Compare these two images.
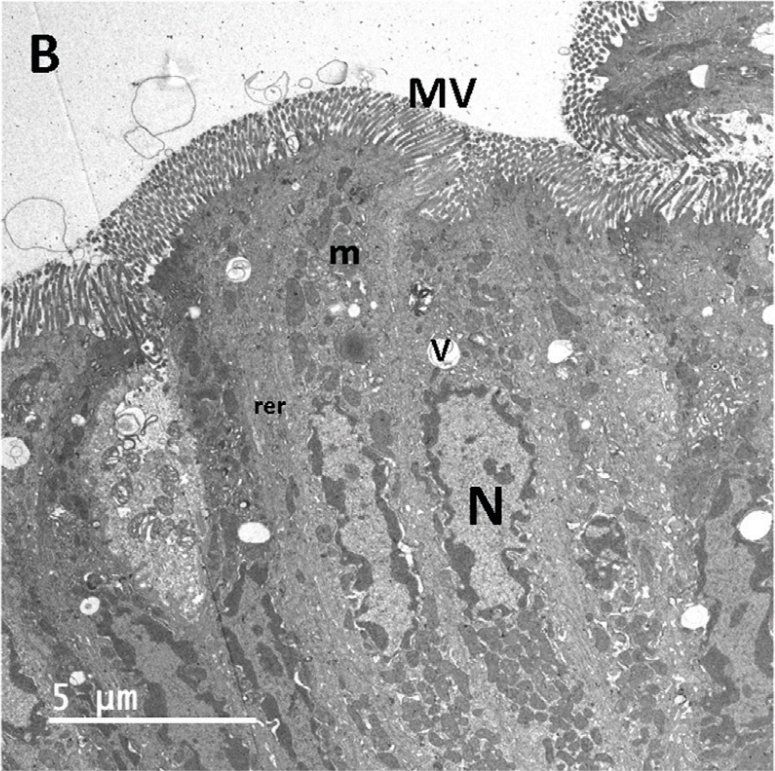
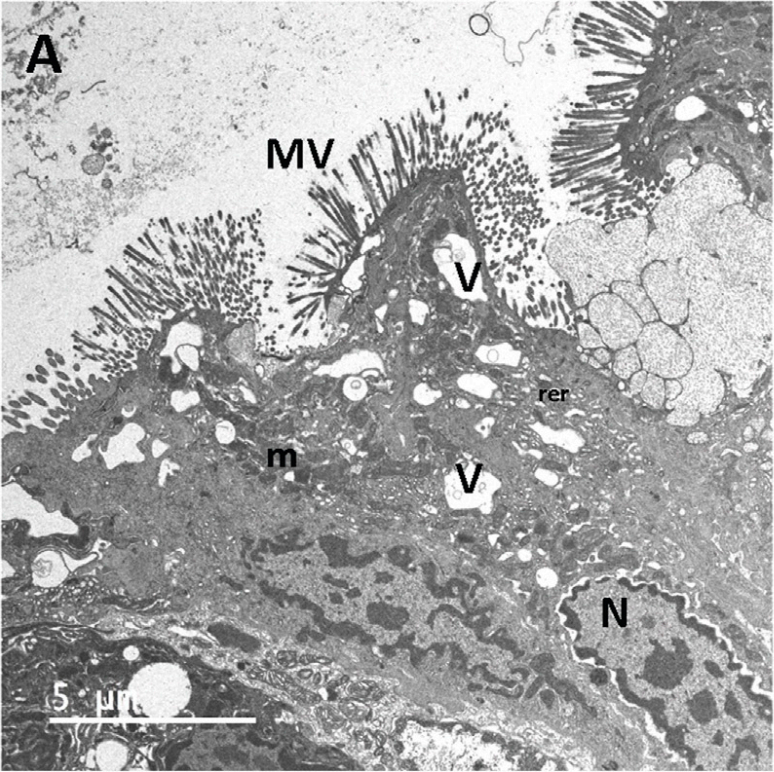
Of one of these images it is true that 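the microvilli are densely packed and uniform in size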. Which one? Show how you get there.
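The first image. Second image: the apical projections are sparse, splayed apart and of unequal length. First image: the apical projections form a closely packed, even fringe of similar length.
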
